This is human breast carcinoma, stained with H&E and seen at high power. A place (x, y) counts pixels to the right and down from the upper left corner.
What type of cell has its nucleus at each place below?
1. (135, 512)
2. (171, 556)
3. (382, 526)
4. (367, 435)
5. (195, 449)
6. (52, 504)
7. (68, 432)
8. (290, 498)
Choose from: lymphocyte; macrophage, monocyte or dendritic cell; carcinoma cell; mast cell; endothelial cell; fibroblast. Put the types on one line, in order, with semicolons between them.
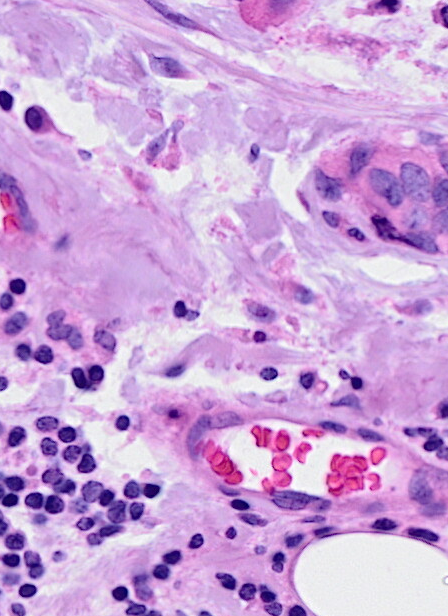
lymphocyte; lymphocyte; lymphocyte; endothelial cell; endothelial cell; lymphocyte; lymphocyte; endothelial cell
